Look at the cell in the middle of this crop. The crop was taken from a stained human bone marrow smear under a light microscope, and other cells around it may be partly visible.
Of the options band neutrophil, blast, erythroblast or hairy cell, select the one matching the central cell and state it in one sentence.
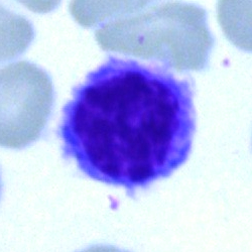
The cell featured at the centre of this crop is a hairy cell.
